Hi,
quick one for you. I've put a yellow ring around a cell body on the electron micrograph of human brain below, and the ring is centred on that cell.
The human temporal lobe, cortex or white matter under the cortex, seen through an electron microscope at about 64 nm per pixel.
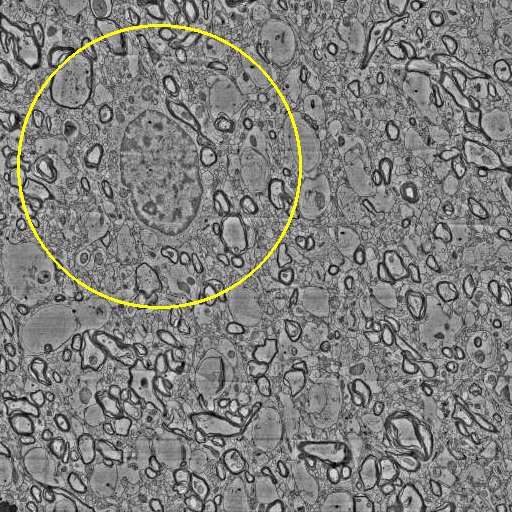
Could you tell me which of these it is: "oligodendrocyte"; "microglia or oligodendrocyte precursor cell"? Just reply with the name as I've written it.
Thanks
oligodendrocyte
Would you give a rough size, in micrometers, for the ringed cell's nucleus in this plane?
Roughly 8 by 5 micrometers, clearly longer than it is wide in this plane.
